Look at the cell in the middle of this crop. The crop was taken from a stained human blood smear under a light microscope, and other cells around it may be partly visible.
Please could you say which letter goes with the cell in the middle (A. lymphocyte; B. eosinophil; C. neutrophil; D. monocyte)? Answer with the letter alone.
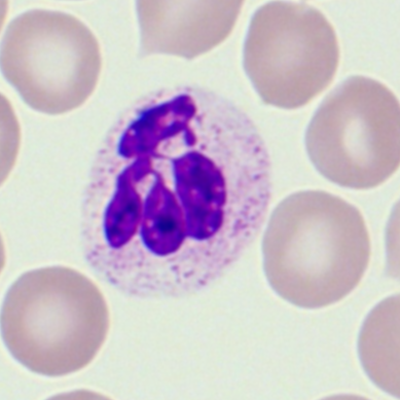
C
